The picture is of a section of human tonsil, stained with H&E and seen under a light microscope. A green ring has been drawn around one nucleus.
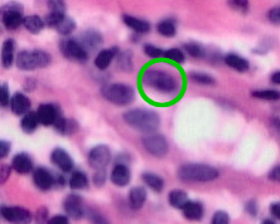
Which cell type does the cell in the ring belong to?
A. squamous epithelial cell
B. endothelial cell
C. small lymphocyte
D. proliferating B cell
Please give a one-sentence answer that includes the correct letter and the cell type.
Option B names the cell in the ring correctly as an endothelial cell.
